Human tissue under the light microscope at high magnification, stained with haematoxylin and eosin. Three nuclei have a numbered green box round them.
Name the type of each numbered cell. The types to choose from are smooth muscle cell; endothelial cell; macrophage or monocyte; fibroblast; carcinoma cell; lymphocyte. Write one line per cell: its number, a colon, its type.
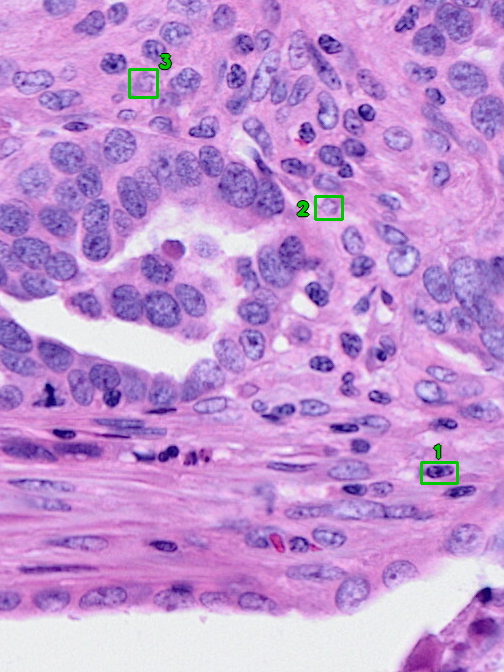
1: lymphocyte
2: fibroblast
3: endothelial cell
